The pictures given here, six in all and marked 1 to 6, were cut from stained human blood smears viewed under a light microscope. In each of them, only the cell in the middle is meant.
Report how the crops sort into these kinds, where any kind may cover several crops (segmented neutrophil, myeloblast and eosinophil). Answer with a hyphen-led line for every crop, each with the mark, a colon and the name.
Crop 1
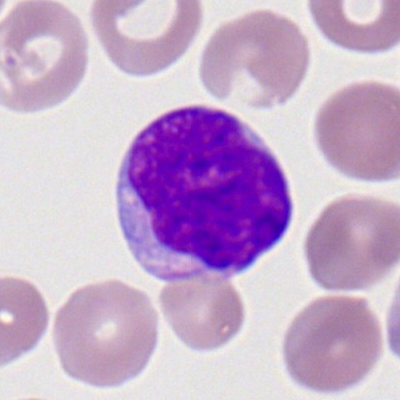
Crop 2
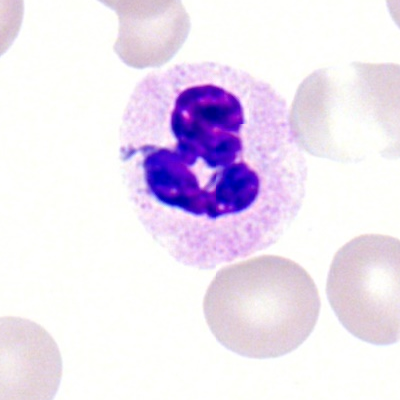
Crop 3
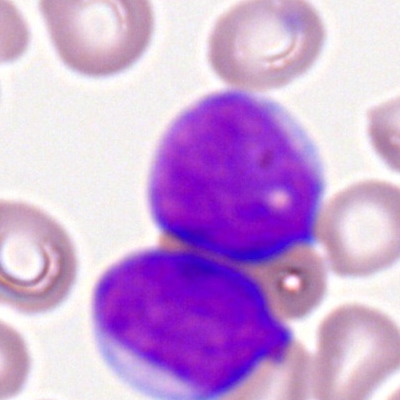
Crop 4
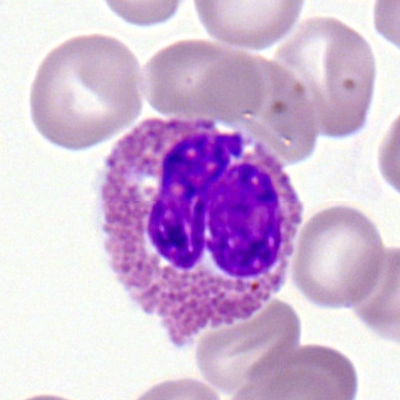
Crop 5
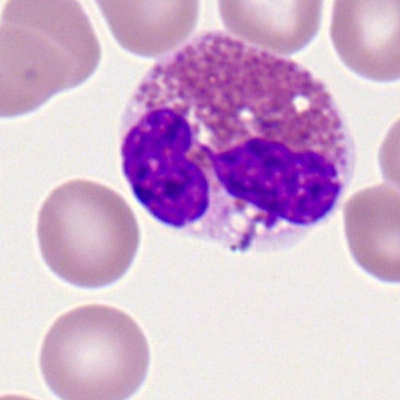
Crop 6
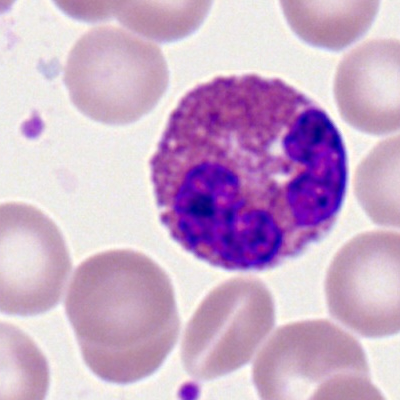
- 1: myeloblast
- 2: segmented neutrophil
- 3: myeloblast
- 4: eosinophil
- 5: eosinophil
- 6: eosinophil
